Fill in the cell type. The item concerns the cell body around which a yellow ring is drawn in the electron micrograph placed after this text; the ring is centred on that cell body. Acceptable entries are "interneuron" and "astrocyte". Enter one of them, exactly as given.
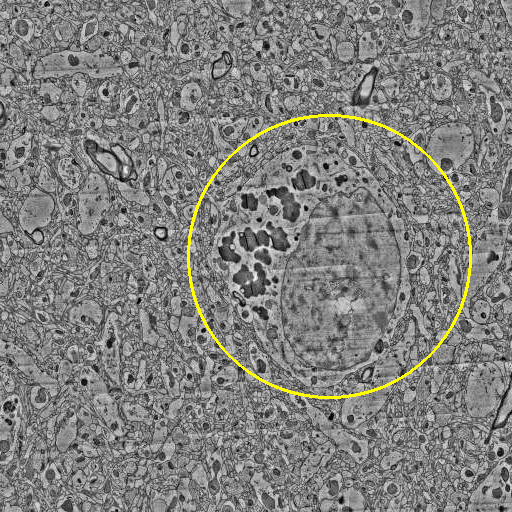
interneuron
